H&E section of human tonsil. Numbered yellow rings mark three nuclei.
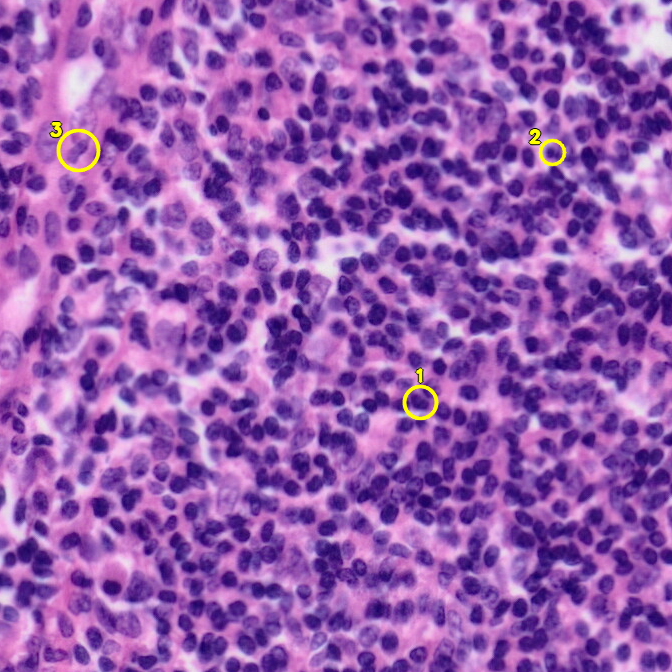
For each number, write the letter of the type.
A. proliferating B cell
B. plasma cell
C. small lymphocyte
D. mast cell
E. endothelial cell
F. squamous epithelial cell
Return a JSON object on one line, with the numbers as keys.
{"1": "C", "2": "C", "3": "E"}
